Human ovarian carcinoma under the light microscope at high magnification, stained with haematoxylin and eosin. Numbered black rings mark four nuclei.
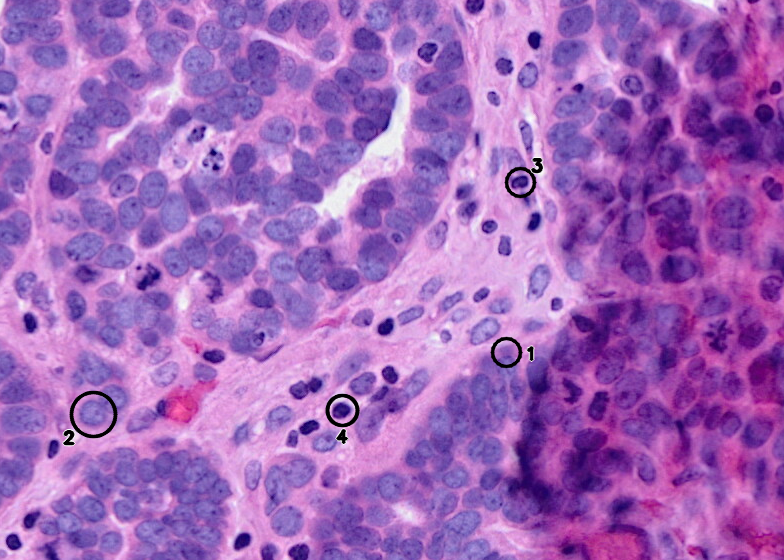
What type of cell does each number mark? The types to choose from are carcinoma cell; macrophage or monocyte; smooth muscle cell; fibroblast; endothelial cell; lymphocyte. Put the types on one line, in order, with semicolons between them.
carcinoma cell; carcinoma cell; lymphocyte; lymphocyte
